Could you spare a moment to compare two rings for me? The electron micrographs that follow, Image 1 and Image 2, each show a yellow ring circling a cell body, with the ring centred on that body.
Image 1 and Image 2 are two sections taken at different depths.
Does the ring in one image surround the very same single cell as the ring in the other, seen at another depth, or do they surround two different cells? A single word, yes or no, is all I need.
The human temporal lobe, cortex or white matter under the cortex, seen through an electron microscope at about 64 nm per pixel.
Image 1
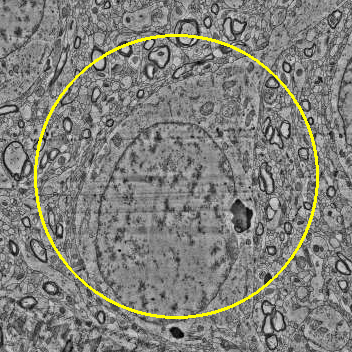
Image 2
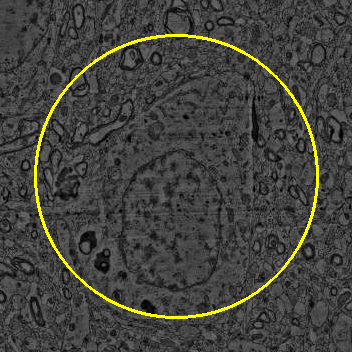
yes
